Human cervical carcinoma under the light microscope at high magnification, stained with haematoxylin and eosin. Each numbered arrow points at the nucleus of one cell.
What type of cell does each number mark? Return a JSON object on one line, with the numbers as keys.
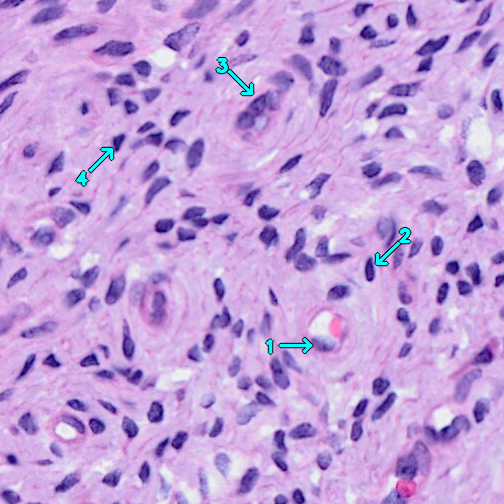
{"1": "endothelial cell", "2": "fibroblast", "3": "endothelial cell", "4": "fibroblast"}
